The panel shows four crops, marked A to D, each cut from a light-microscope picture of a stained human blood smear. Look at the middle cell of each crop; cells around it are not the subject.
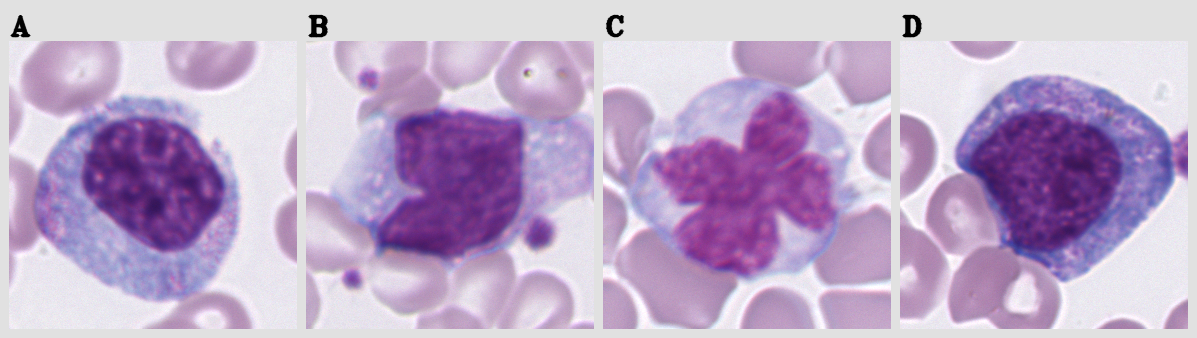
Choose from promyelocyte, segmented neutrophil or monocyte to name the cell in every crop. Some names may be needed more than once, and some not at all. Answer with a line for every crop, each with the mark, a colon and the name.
A: promyelocyte
B: monocyte
C: monocyte
D: promyelocyte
